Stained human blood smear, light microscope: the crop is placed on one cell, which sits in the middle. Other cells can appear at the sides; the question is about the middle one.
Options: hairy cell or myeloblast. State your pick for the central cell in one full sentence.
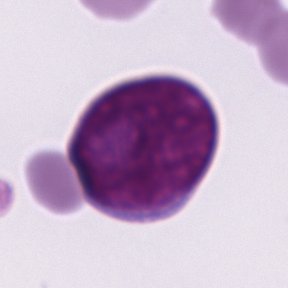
On this slide crop, the central cell is a myeloblast.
